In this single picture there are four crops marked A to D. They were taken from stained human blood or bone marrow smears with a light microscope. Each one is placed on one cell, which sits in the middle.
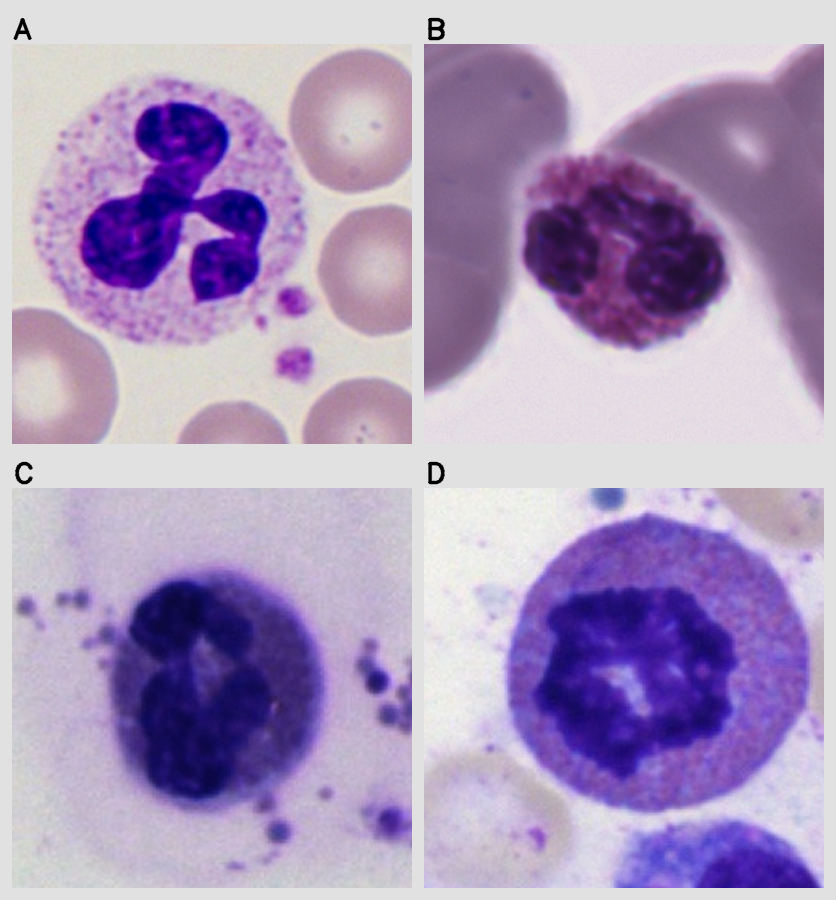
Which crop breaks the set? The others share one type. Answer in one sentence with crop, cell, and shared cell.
Among the crops, crop A is unique in showing a neutrophil; the others show eosinophils.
